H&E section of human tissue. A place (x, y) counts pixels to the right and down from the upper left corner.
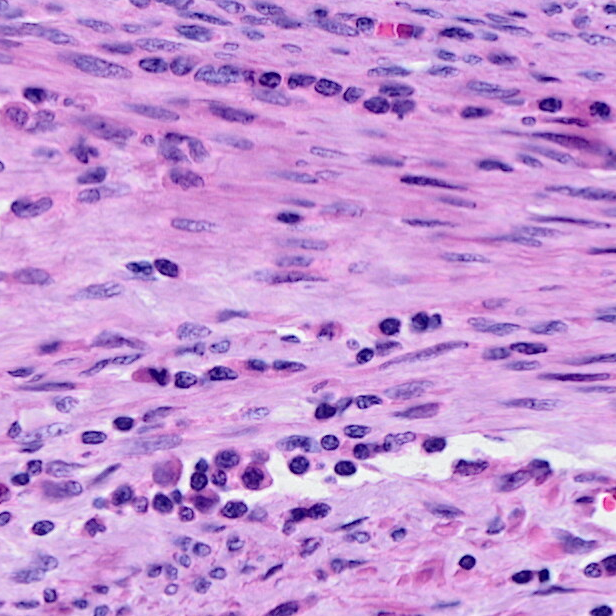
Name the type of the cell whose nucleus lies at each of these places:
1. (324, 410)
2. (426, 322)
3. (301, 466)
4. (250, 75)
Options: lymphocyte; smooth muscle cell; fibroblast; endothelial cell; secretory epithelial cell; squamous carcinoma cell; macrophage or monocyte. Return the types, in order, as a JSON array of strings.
["lymphocyte", "lymphocyte", "lymphocyte", "endothelial cell"]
